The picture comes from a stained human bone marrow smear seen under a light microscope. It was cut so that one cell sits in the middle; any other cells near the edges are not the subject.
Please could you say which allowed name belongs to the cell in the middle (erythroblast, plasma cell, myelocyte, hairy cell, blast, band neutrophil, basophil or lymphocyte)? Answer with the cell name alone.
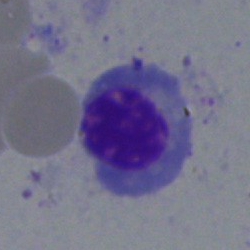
erythroblast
